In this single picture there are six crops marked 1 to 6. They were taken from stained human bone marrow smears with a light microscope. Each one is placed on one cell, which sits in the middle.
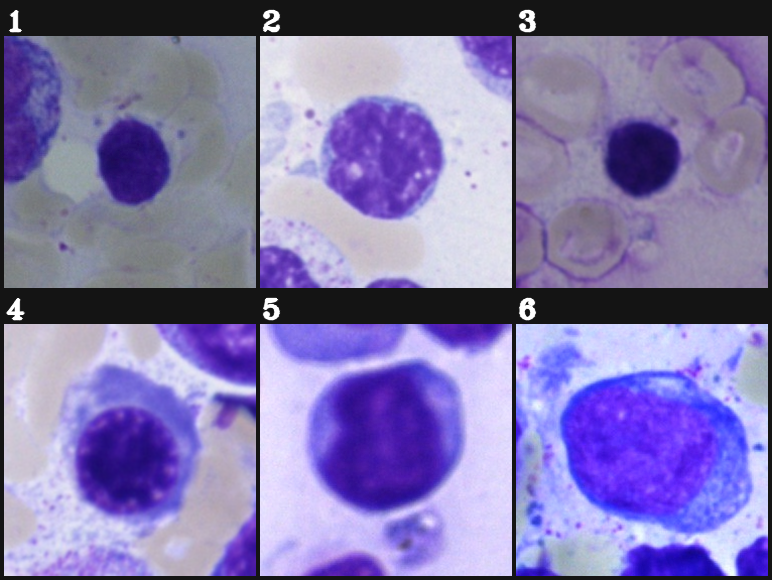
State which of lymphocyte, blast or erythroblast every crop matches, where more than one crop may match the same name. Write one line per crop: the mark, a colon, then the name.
1: lymphocyte
2: lymphocyte
3: lymphocyte
4: erythroblast
5: blast
6: blast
